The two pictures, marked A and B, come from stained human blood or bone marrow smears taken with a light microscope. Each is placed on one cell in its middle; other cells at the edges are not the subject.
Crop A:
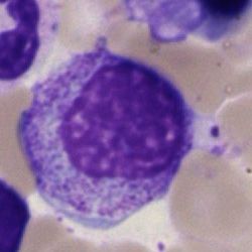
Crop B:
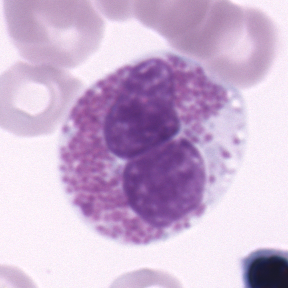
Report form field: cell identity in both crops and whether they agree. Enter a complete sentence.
No, crop A shows a myelocyte, whereas in crop B the cell is an eosinophil.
